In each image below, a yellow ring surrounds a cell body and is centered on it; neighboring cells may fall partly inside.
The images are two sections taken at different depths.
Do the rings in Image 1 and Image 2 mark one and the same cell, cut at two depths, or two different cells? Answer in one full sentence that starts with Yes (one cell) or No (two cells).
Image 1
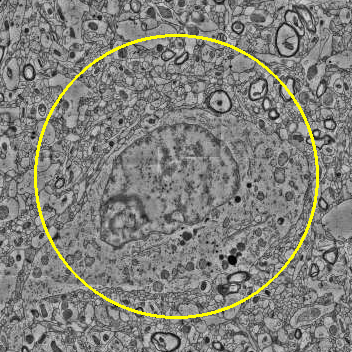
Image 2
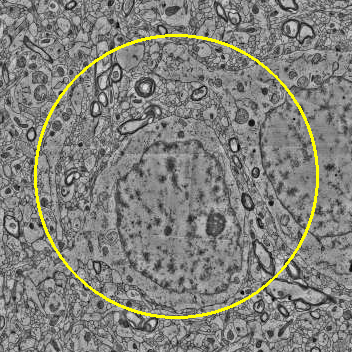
No, the two rings are drawn around two distinct cells.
